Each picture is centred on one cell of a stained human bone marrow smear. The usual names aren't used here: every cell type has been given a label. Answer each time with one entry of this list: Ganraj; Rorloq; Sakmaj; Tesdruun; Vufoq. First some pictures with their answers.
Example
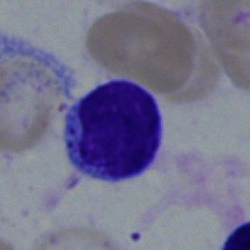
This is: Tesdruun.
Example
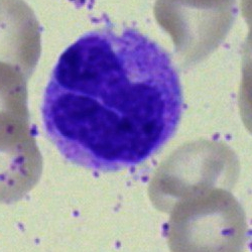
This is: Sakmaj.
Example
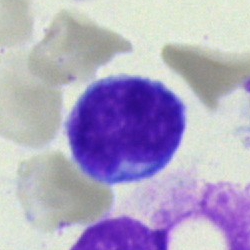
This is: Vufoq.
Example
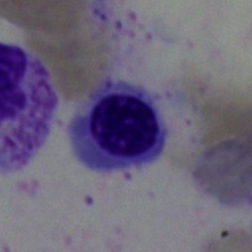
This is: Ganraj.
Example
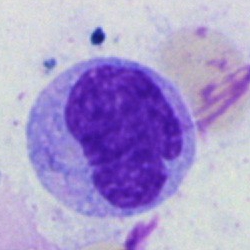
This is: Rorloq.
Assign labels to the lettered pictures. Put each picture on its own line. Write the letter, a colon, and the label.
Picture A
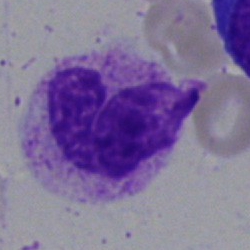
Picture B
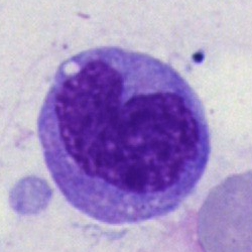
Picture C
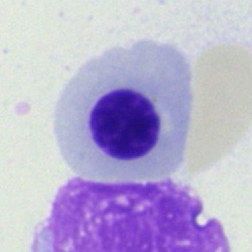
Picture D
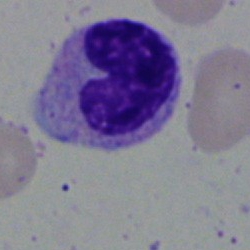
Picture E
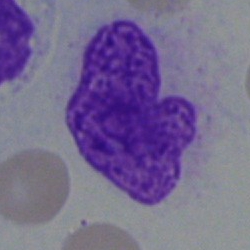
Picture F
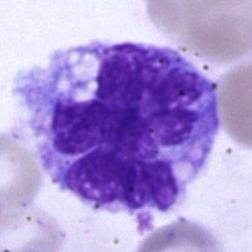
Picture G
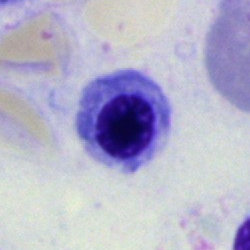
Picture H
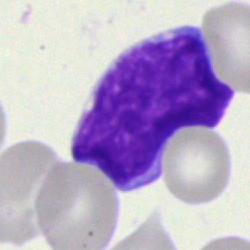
A: Sakmaj.
B: Rorloq.
C: Ganraj.
D: Sakmaj.
E: Rorloq.
F: Rorloq.
G: Ganraj.
H: Vufoq.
